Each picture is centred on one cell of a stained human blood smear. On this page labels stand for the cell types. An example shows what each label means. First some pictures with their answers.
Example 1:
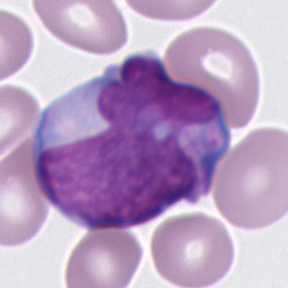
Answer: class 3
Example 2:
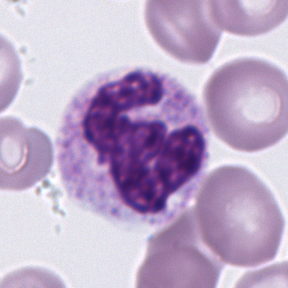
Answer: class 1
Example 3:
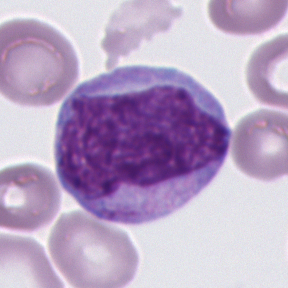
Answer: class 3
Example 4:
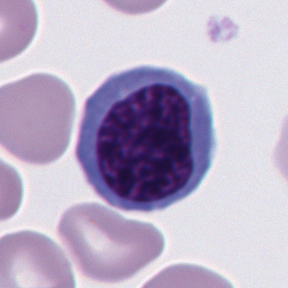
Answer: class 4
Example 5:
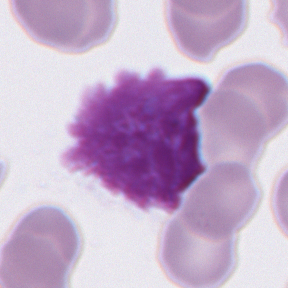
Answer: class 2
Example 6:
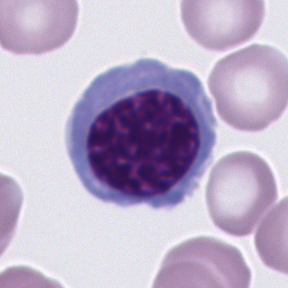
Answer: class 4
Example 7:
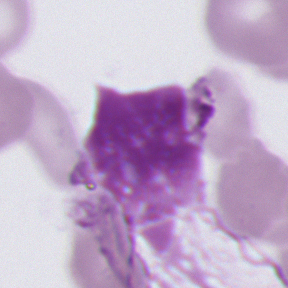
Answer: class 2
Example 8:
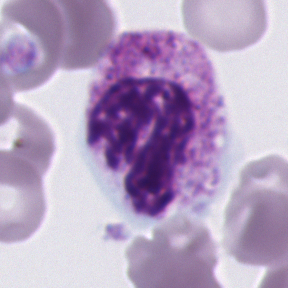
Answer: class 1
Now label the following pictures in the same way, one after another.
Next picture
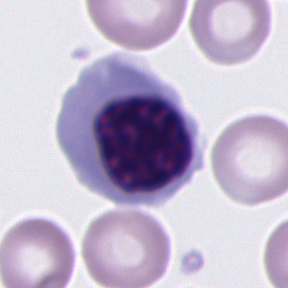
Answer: class 4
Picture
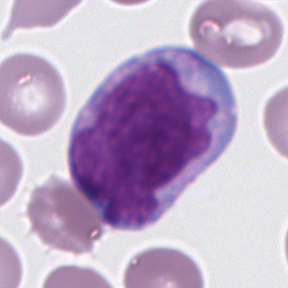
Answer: class 3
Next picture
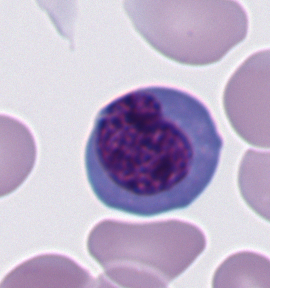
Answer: class 4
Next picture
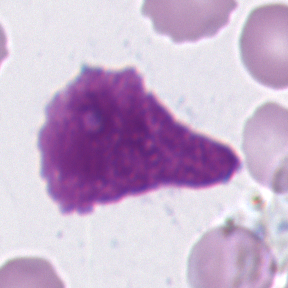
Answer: class 2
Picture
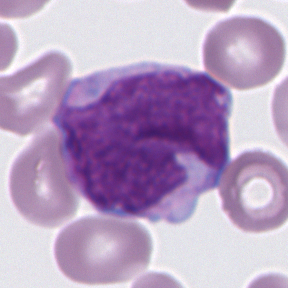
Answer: class 3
